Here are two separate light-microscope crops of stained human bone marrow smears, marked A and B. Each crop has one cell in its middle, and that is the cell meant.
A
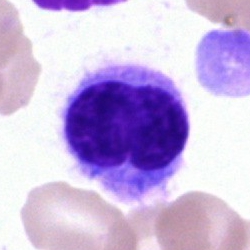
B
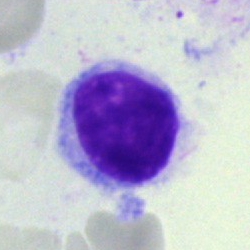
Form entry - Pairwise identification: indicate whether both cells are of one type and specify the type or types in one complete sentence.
Yes, the cells under consideration in both crops are hairy cells.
